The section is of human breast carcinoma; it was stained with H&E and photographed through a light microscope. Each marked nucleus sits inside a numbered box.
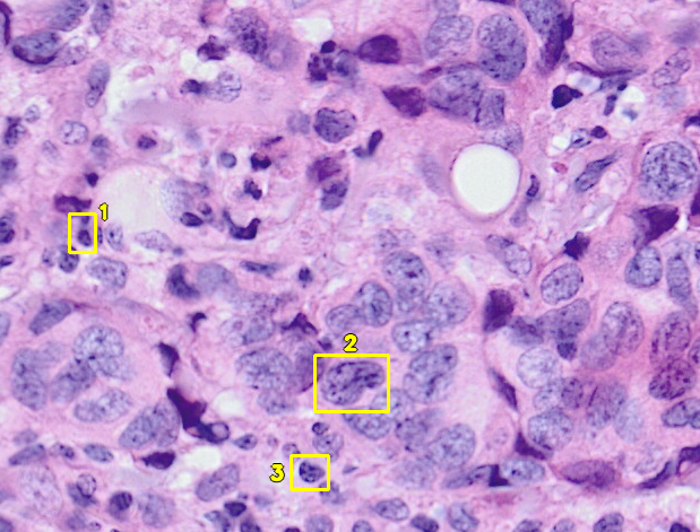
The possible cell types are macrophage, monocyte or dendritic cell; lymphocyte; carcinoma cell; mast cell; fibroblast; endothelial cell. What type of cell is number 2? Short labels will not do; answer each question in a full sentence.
The cell that bears the number 2 is a carcinoma cell.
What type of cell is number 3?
The numbered cell 3 is identified here as a lymphocyte.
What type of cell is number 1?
Cell 1 is classified as a lymphocyte.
